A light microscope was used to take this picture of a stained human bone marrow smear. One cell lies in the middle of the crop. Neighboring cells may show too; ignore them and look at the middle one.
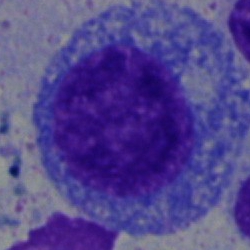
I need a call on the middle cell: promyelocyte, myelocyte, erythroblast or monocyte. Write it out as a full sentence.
The cell at the middle of the frame should be recorded as a promyelocyte.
